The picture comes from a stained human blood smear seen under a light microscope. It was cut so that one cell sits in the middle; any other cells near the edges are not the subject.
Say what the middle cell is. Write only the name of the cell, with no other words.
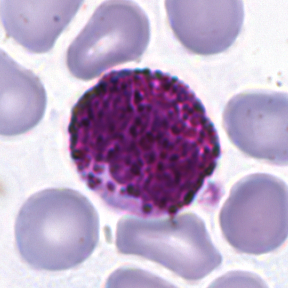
basophil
